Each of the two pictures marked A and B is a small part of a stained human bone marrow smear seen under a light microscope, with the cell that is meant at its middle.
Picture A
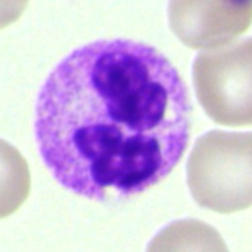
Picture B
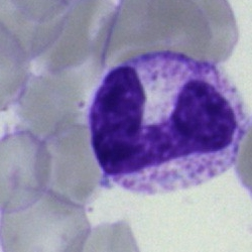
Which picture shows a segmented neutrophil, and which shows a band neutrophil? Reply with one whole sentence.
Picture A is of a segmented neutrophil, and picture B is of a band neutrophil.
